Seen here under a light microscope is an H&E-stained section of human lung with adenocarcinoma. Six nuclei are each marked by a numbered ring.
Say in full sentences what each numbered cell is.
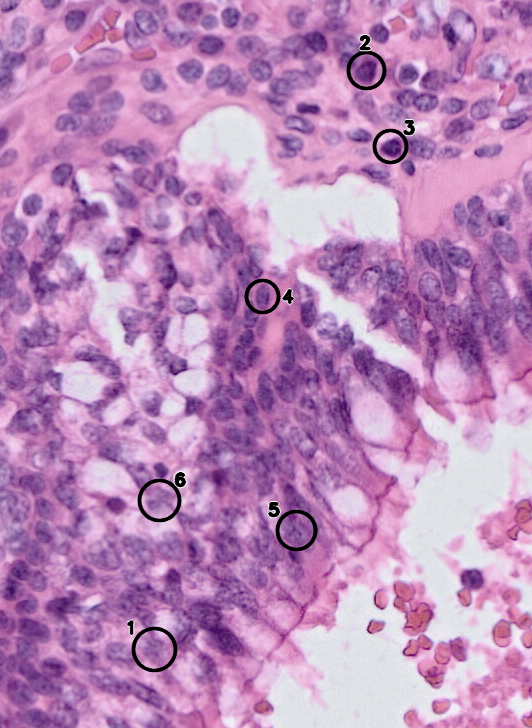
Cell 1 is a ciliated epithelial cell, cell 2 is a plasma cell, cell 3 is a plasma cell, cell 4 is a ciliated epithelial cell, cell 5 is a ciliated epithelial cell and cell 6 is a ciliated epithelial cell.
